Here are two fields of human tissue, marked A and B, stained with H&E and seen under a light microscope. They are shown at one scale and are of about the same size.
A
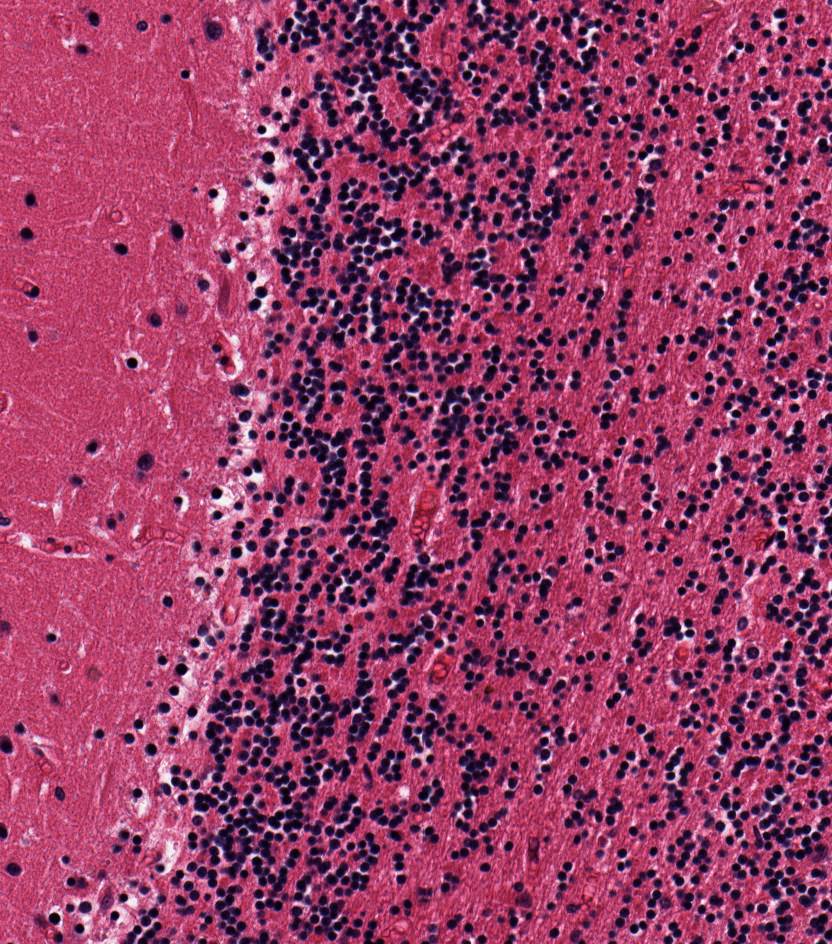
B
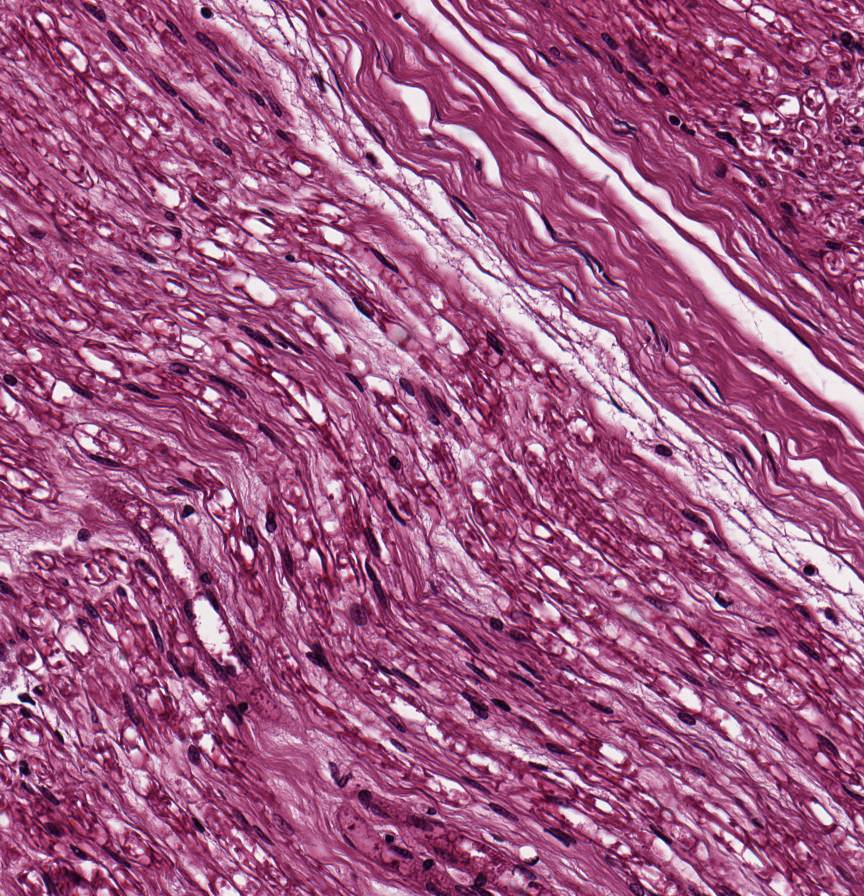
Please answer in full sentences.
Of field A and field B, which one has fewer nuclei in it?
It is field B that has fewer nuclei in it.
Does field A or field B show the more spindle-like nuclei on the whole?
Longer, more slender nuclei lie in field B.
